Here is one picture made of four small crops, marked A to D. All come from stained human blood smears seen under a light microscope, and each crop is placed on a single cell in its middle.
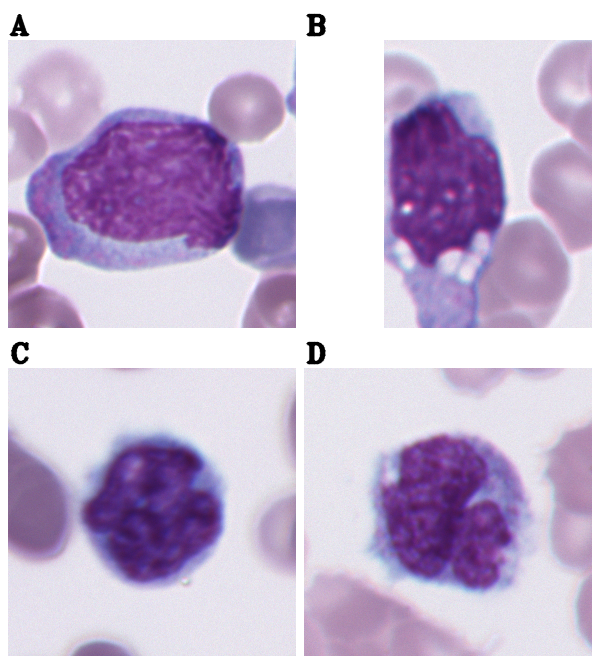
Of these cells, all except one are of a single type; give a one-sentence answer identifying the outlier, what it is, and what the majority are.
Crop A is the one to flag: it is an atypical promyelocyte, and the rest show monocytes.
